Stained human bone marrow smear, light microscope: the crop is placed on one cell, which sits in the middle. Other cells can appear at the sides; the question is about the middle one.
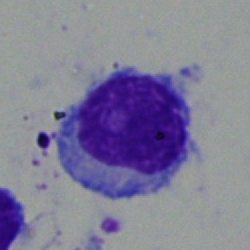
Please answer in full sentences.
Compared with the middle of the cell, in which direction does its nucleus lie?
The nucleus sits off-centre, toward the upper right.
